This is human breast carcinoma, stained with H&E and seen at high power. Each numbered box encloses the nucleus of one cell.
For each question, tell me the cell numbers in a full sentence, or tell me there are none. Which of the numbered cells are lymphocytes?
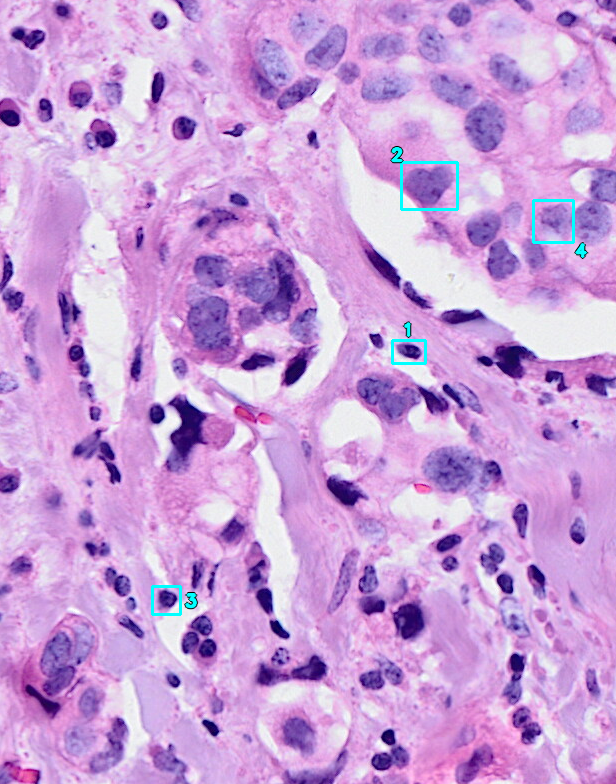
The cells tagged with numbers 1 and 3 are lymphocytes.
